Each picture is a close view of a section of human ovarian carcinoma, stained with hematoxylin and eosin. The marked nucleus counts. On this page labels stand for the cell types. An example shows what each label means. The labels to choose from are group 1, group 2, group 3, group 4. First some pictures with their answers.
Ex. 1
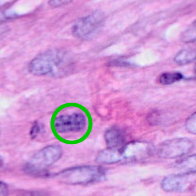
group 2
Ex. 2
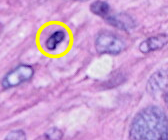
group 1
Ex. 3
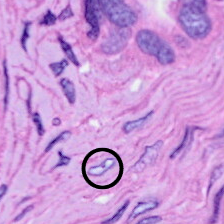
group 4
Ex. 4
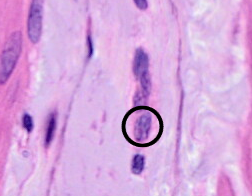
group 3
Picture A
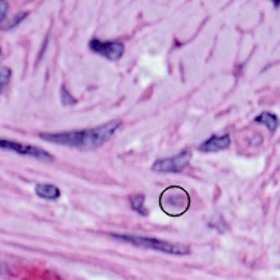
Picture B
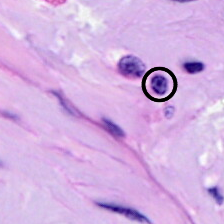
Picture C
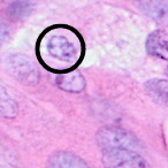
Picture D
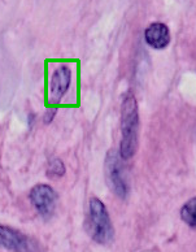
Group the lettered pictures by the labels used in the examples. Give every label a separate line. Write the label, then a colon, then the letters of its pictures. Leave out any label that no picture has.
group 1: B
group 2: C, D
group 4: A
